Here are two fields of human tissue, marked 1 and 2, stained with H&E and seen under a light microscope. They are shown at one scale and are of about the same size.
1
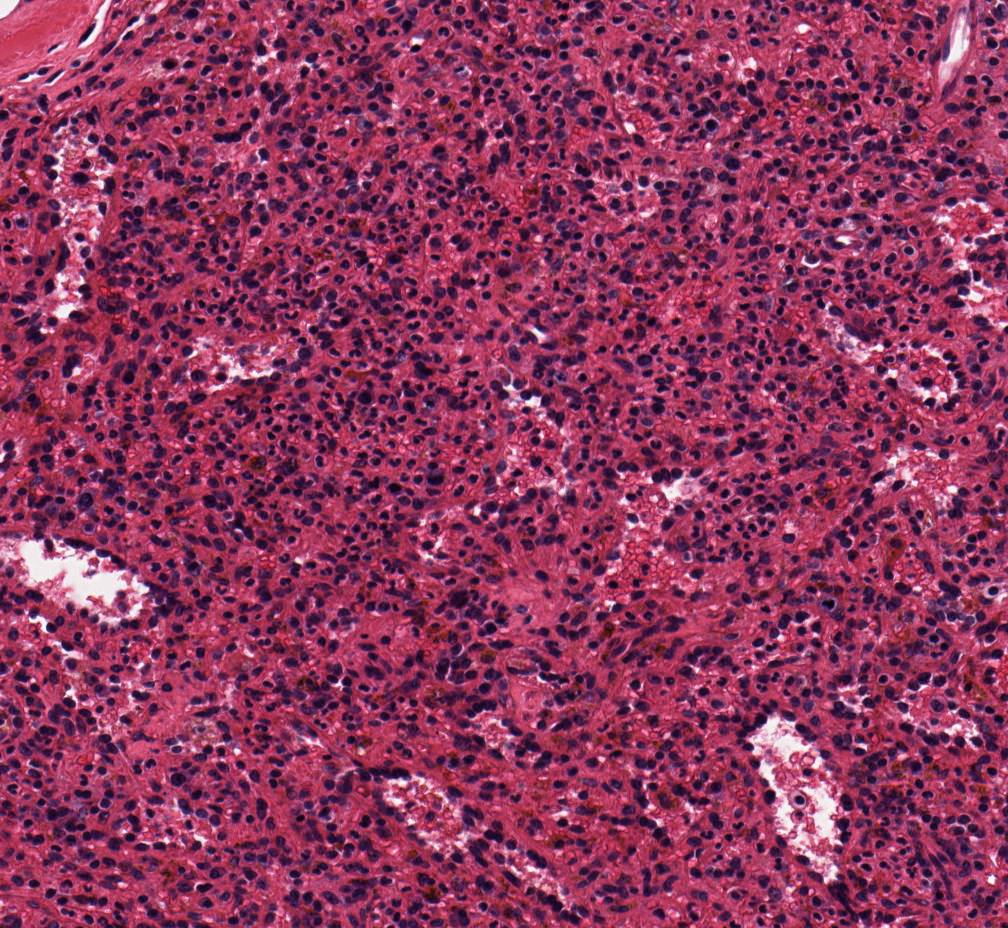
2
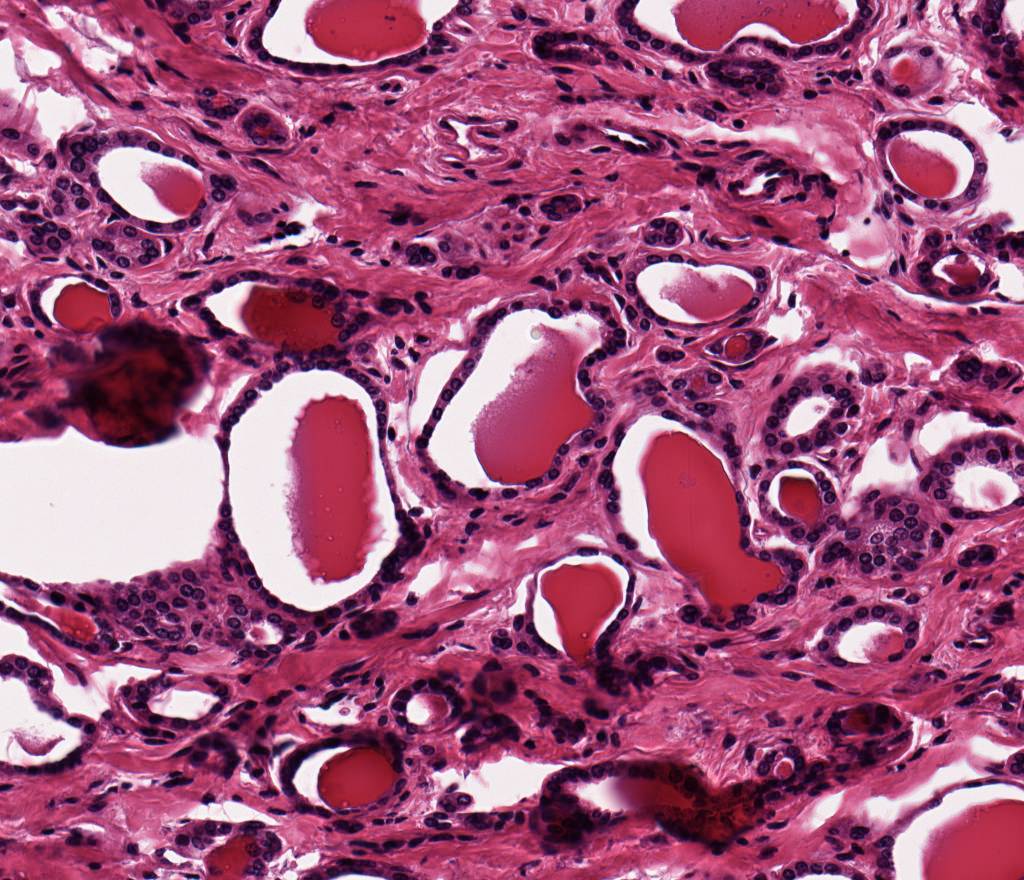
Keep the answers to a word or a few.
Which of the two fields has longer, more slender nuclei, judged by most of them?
2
